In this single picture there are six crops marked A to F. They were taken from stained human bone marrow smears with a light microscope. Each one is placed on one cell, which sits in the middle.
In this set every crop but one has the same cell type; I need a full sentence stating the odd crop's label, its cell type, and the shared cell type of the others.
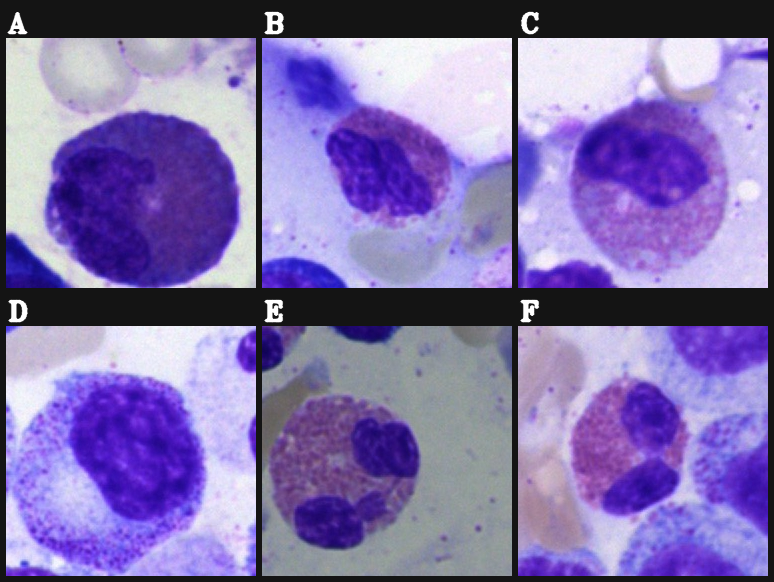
For this set, crop D is a promyelocyte, and all the rest are eosinophils.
